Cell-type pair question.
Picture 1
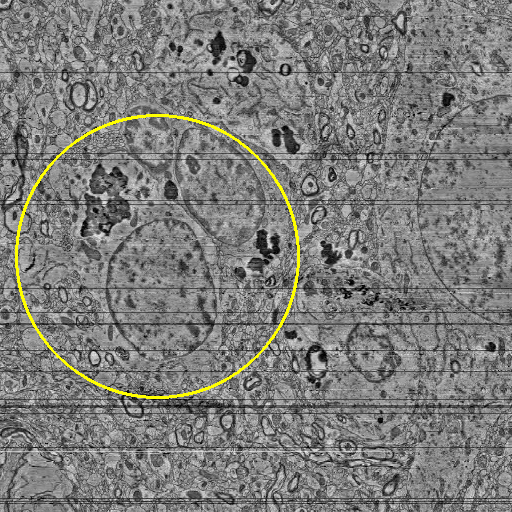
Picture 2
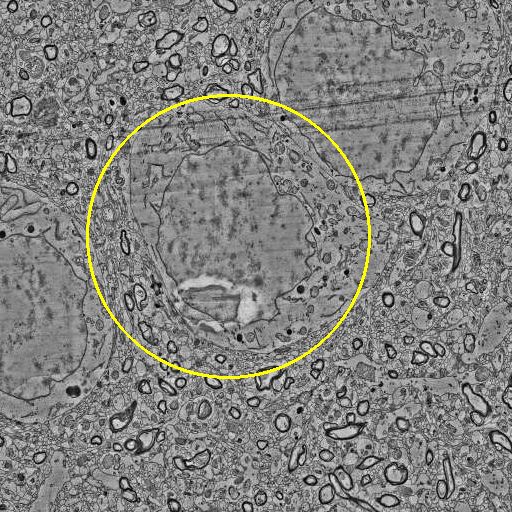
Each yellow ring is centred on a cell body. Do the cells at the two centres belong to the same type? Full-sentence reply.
No, the two cells belong to two types.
